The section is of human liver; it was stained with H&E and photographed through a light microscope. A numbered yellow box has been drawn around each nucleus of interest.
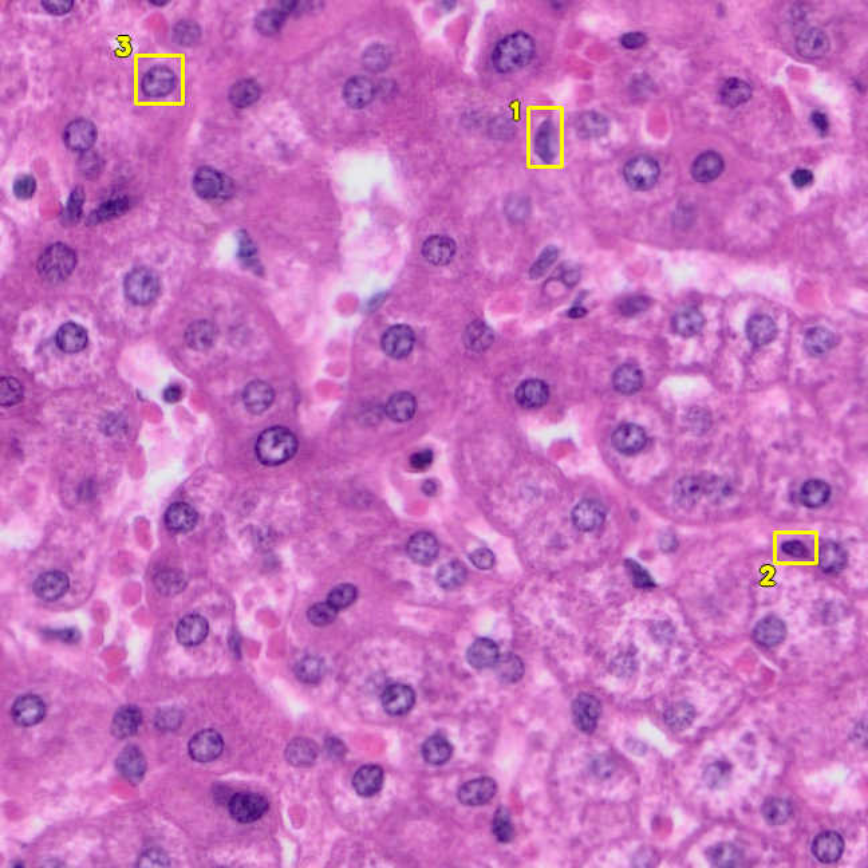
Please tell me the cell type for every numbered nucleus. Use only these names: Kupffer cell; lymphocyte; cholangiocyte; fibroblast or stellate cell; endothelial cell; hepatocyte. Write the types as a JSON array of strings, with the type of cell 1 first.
["endothelial cell", "fibroblast or stellate cell", "hepatocyte"]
